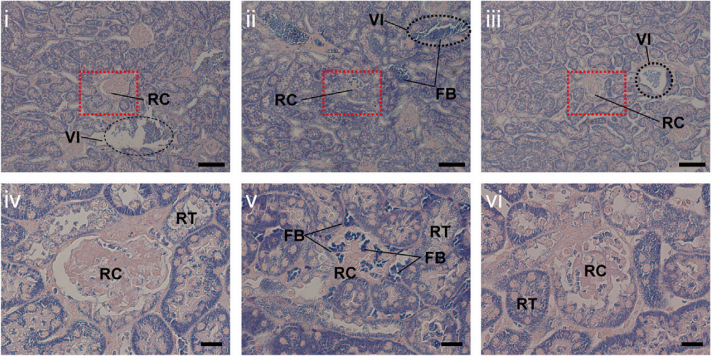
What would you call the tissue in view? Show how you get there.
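Rounded capillary tufts in capsules lie among closely packed tubules. Tubules cut in cross section with epithelial lining and small lumens. That points to this answer: kidney.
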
